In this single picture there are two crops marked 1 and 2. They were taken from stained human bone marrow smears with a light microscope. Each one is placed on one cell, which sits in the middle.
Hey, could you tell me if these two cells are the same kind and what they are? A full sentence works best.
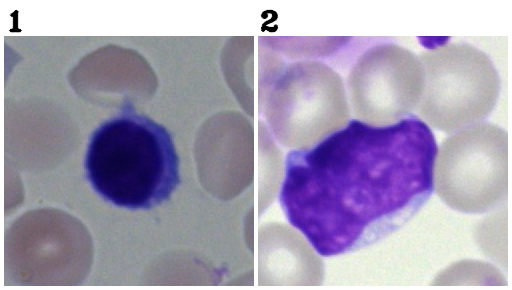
No, mark crop 1 as an erythroblast and crop 2 as a blast.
